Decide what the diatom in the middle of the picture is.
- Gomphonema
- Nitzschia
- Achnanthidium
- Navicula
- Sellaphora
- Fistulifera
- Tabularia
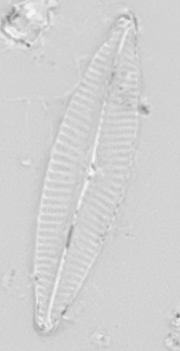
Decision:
Navicula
